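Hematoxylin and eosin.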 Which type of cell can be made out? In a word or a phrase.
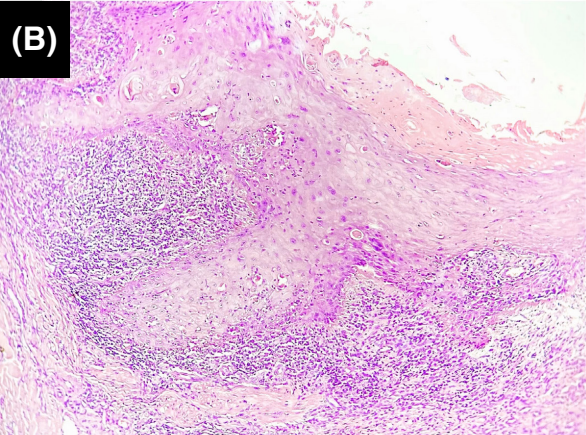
glassy squamous cells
